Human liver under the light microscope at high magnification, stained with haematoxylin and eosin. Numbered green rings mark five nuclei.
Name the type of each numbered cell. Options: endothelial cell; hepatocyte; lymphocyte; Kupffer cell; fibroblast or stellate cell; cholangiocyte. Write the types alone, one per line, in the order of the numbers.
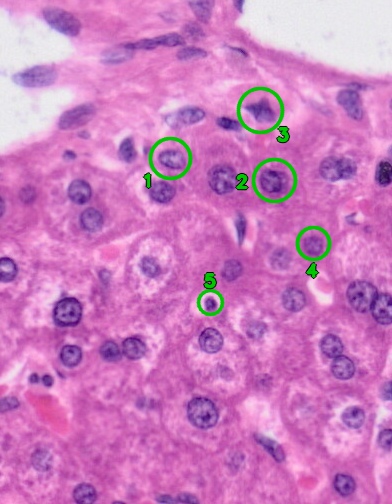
cholangiocyte
hepatocyte
fibroblast or stellate cell
hepatocyte
lymphocyte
